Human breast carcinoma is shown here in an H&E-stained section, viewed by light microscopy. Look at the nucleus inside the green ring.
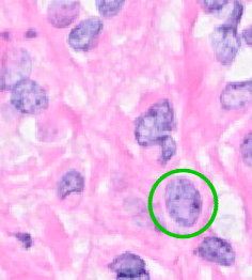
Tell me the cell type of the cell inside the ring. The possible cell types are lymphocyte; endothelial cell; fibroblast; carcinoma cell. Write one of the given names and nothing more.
carcinoma cell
